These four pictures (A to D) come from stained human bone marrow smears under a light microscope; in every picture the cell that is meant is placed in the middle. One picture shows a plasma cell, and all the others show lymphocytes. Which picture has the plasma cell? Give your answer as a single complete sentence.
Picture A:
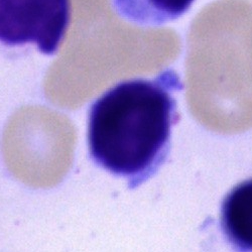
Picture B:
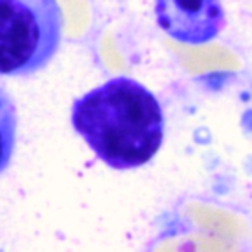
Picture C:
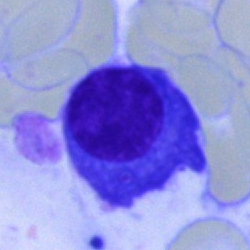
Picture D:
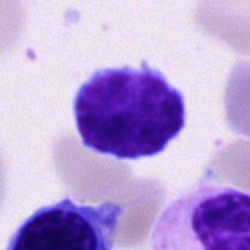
The picture with the plasma cell is C.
